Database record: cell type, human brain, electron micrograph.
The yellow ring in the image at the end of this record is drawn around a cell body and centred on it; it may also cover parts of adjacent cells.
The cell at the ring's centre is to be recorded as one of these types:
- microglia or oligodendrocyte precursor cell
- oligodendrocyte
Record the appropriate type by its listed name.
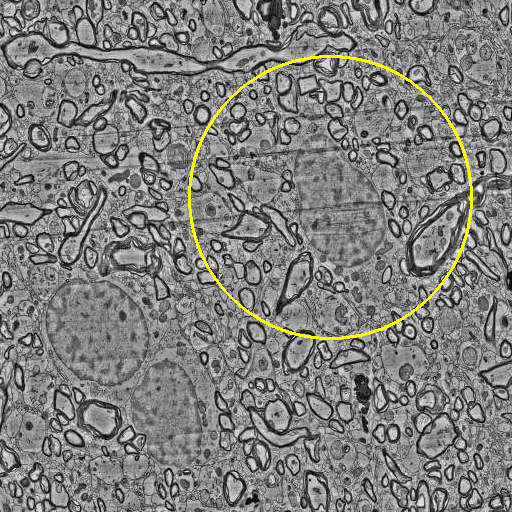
oligodendrocyte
